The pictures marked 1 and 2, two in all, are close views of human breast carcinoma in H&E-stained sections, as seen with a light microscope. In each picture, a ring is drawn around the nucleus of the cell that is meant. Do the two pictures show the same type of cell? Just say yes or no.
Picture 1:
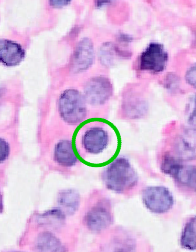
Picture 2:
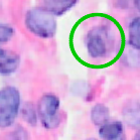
yes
